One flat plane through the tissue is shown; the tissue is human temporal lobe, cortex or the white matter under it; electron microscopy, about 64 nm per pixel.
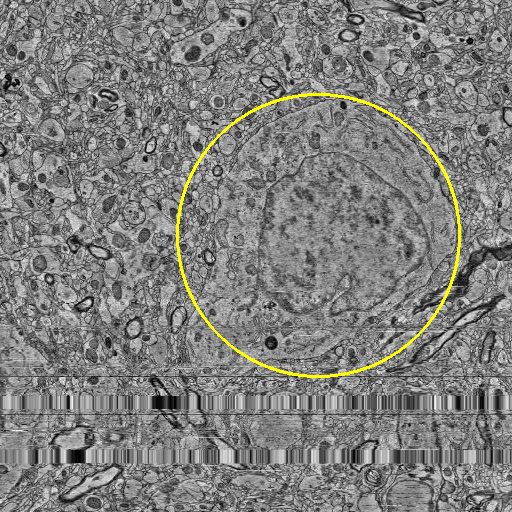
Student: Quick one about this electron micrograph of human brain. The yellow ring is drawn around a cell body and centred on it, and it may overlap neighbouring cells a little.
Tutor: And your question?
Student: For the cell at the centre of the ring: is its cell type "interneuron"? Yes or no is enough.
yes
